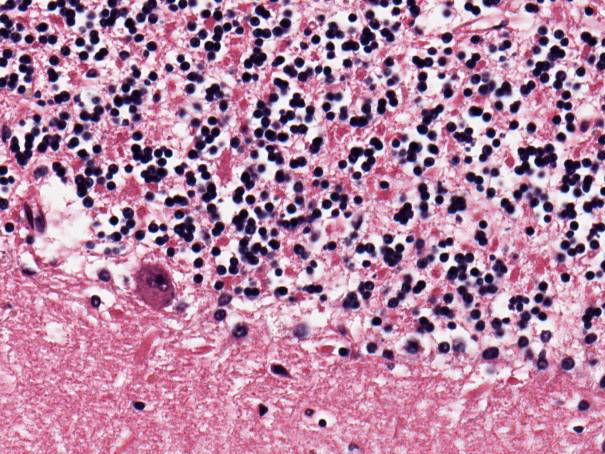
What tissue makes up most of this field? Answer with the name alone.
granular layer of the cerebellum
